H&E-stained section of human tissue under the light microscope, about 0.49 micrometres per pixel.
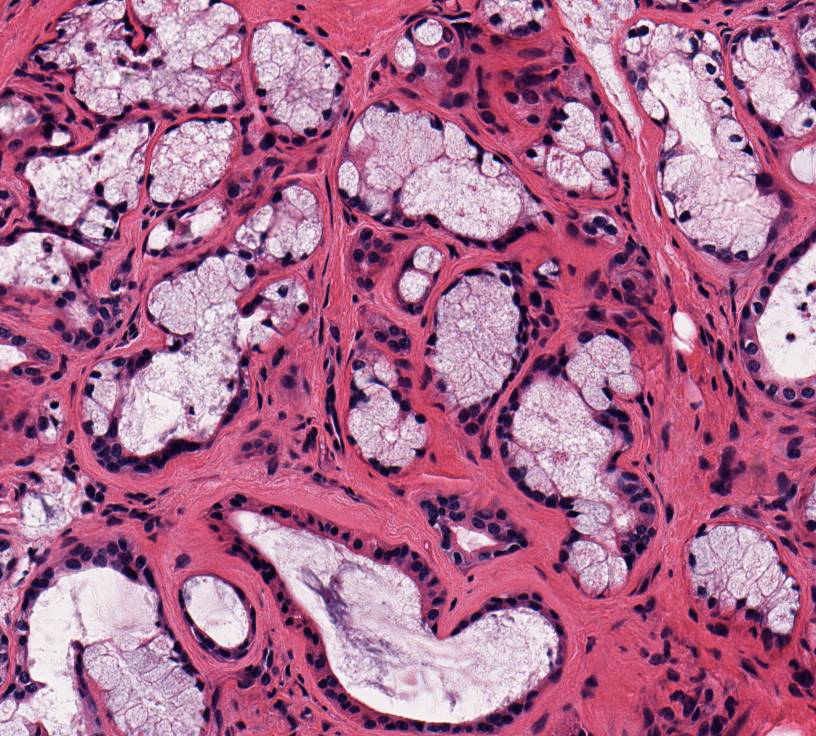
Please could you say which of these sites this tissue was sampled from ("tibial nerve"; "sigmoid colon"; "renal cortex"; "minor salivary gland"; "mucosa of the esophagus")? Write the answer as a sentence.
The site this tissue was sampled from is the minor salivary gland.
